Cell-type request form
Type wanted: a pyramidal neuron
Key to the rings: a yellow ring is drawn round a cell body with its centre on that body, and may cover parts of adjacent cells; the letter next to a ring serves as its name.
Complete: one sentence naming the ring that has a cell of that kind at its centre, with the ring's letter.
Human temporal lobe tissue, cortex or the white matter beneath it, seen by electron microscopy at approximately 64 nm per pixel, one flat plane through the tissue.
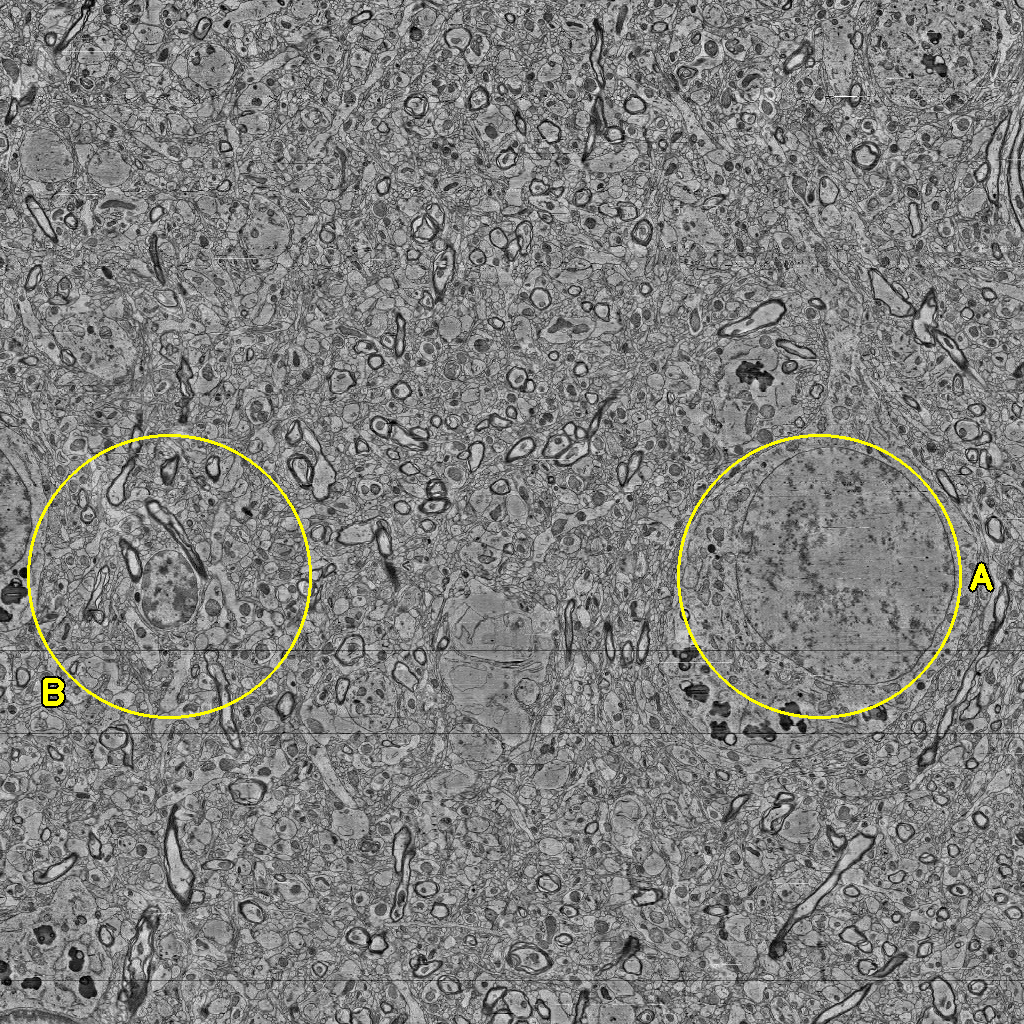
A cell of that kind sits at the centre of the ring labelled A.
